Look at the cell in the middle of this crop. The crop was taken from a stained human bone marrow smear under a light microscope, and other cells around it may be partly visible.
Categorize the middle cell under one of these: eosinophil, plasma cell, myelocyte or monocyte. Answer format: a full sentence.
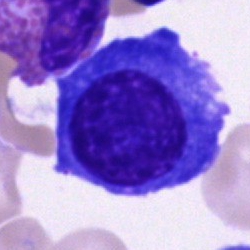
The crop's centre is taken up by a plasma cell.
